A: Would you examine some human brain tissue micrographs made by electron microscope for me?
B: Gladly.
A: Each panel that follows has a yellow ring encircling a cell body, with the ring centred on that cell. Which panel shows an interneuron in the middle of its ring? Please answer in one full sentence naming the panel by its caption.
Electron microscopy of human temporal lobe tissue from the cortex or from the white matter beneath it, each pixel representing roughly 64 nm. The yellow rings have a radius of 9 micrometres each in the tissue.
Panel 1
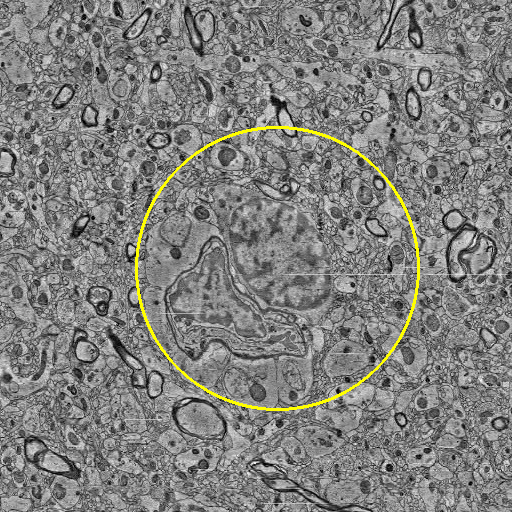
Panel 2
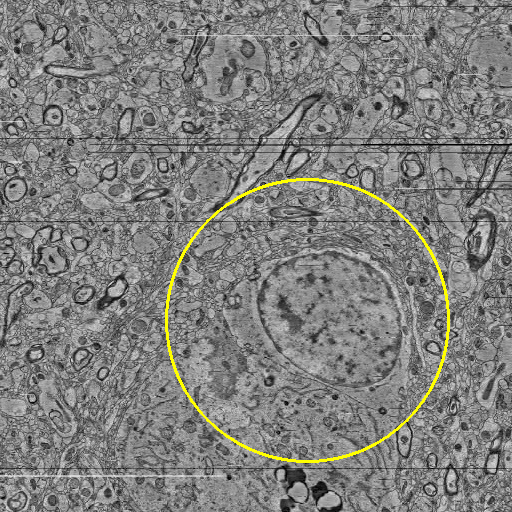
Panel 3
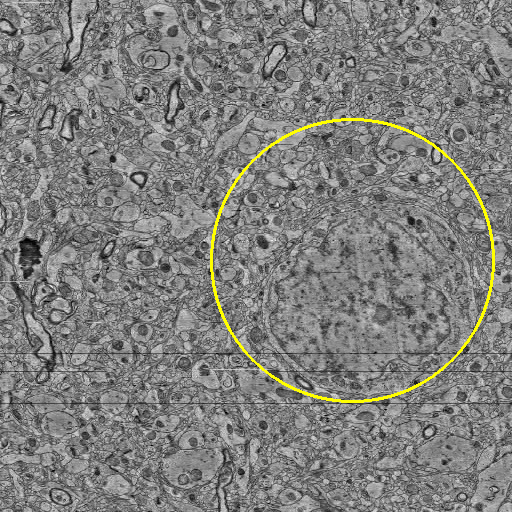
Panel 3 is where the ring sits centred on the requested cell.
